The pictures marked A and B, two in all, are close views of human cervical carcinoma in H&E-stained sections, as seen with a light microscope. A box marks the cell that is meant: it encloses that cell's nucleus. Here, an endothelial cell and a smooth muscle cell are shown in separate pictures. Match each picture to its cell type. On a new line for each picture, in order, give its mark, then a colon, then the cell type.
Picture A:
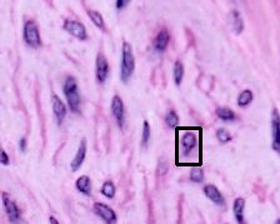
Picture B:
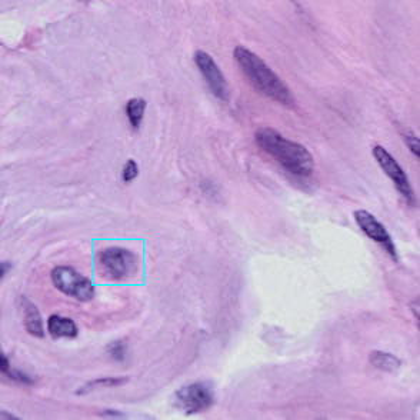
A: smooth muscle cell
B: endothelial cell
